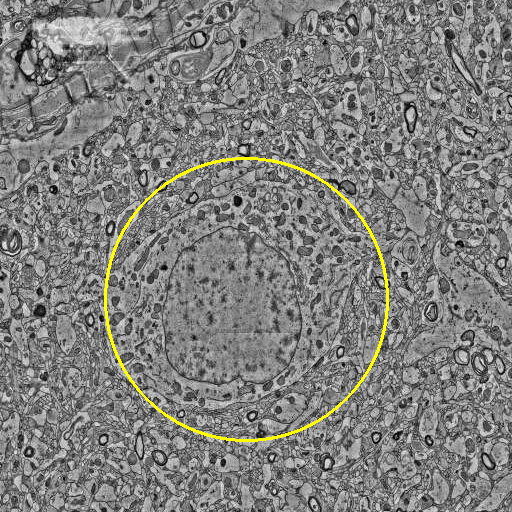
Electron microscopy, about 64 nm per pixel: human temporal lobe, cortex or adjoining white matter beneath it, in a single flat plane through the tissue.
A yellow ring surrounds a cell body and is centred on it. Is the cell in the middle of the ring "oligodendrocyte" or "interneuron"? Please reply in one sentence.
The ring is centred on an interneuron.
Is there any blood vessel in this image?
Yes, one shows.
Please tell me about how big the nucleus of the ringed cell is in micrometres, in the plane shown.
Roughly 10 micrometers across, in this plane.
